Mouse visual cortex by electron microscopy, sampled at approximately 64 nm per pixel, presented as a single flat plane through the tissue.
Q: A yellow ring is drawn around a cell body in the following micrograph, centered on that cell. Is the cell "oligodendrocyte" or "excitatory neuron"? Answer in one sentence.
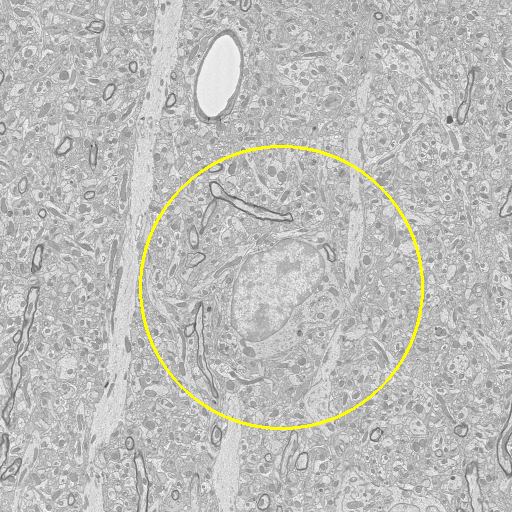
The cell in the center of the ring is an oligodendrocyte.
